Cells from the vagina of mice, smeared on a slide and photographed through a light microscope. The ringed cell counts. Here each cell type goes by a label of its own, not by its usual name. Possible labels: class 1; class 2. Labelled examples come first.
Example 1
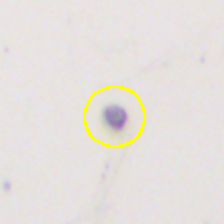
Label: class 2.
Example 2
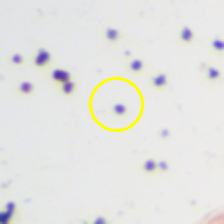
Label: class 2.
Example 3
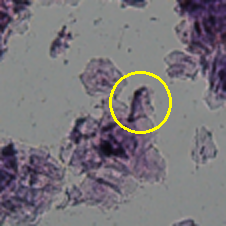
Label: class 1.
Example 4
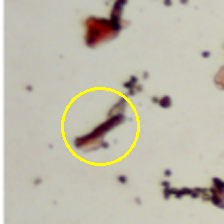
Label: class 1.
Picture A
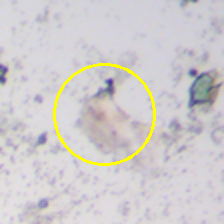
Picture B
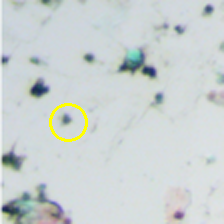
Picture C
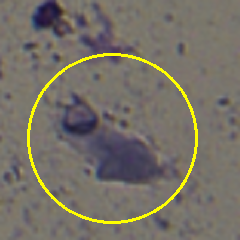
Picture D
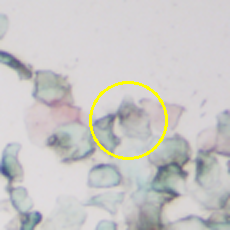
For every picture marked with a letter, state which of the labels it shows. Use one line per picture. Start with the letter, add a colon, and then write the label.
A: class 1.
B: class 2.
C: class 1.
D: class 1.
